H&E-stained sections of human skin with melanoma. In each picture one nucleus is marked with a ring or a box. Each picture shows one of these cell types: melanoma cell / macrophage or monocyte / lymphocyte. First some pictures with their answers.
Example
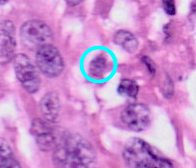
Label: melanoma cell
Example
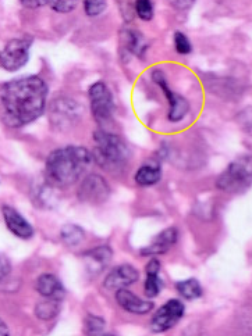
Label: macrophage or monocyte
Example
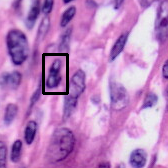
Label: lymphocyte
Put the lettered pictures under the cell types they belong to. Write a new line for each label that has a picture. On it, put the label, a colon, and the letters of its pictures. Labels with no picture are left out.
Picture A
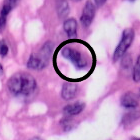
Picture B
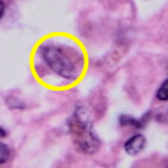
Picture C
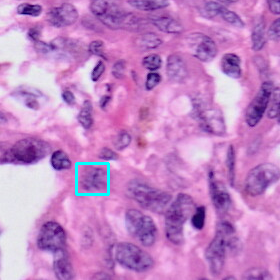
melanoma cell: A, C
macrophage or monocyte: B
